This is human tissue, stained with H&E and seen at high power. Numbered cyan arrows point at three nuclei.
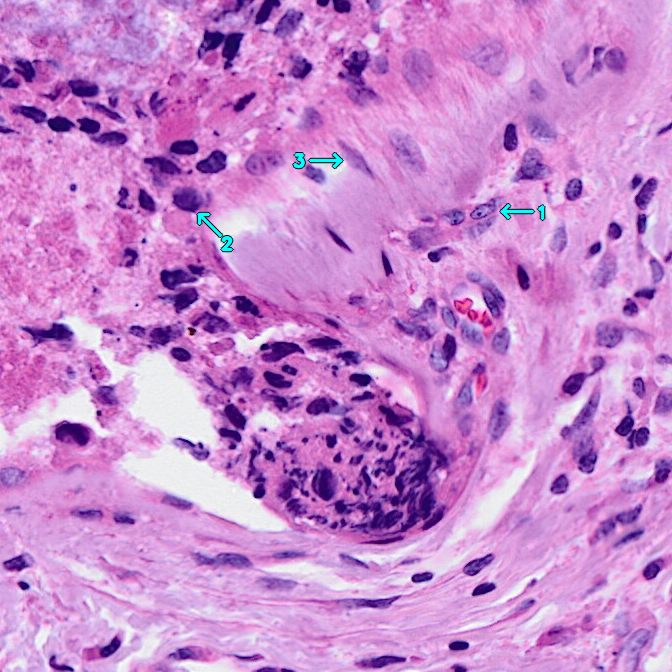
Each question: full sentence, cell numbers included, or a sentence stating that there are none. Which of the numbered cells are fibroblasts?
Only at number 3 is there a fibroblast among the marked cells.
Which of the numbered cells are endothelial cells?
Only the cell numbered 1 qualifies as an endothelial cell among the marked cells.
